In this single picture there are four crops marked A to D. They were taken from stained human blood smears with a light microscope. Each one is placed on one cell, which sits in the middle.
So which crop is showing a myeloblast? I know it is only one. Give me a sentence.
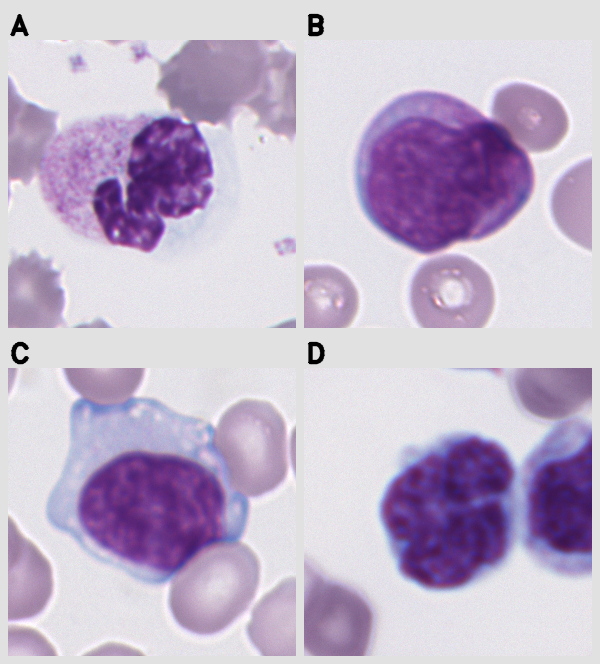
Crop C is where a myeloblast is shown.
